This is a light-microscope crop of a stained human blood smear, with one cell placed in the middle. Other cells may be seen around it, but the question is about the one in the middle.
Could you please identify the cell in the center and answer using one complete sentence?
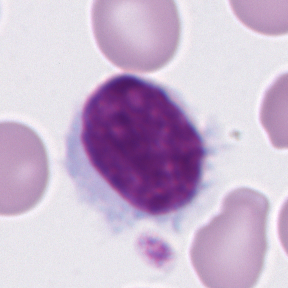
For this crop, the cell in the middle is a hairy cell.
